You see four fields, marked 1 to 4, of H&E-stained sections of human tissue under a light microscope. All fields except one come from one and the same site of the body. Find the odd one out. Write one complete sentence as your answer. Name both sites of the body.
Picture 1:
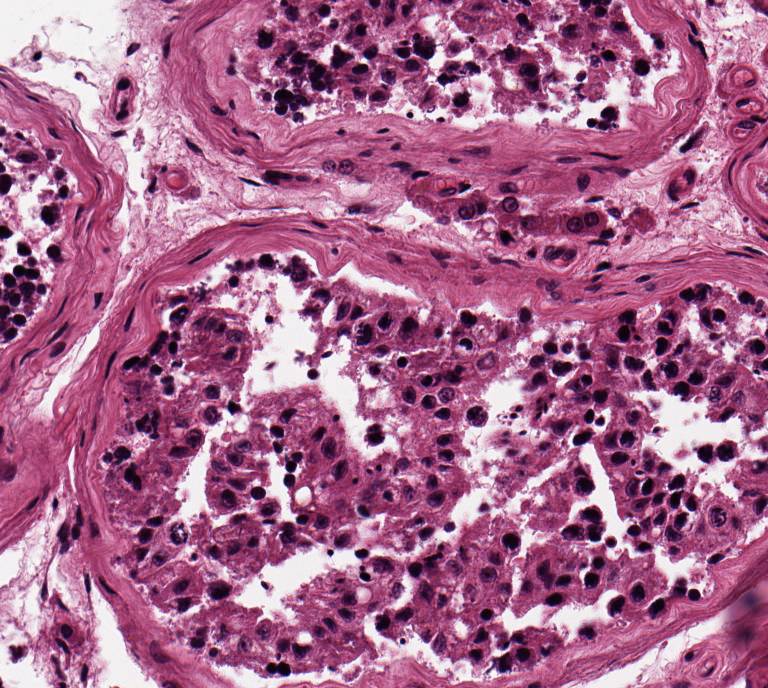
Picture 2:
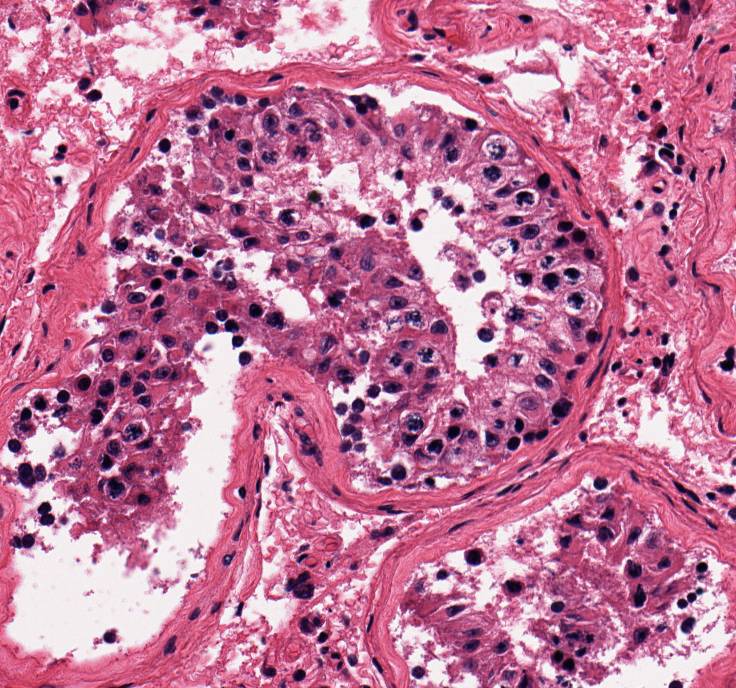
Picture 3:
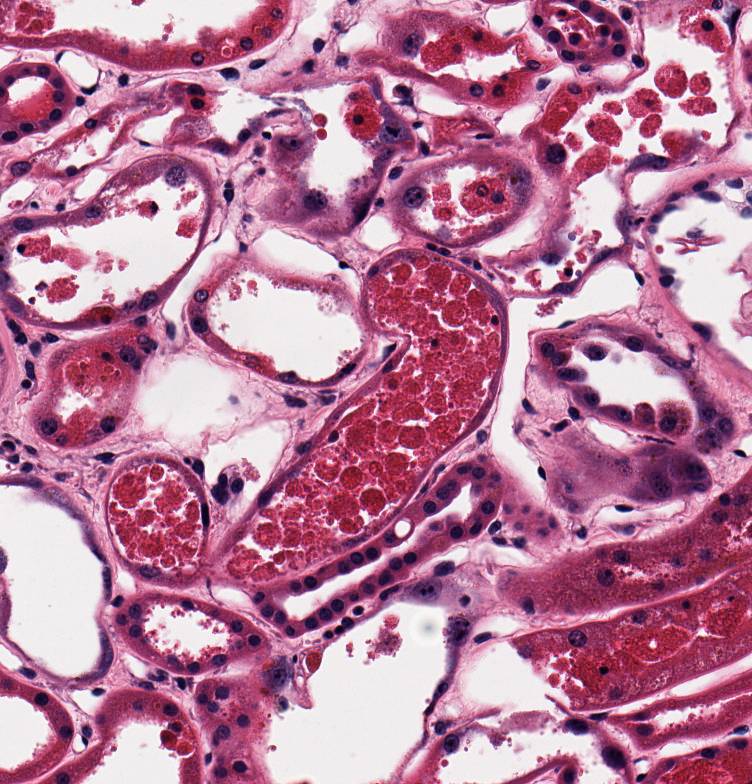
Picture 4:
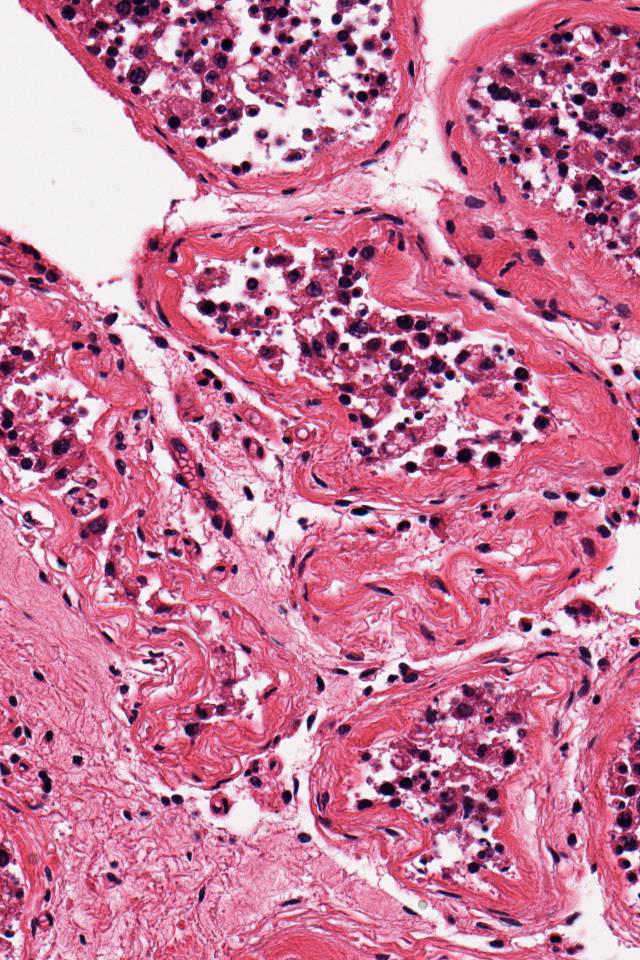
Picture 3 is the odd one out: it comes from the renal cortex, while the others come from the testis.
